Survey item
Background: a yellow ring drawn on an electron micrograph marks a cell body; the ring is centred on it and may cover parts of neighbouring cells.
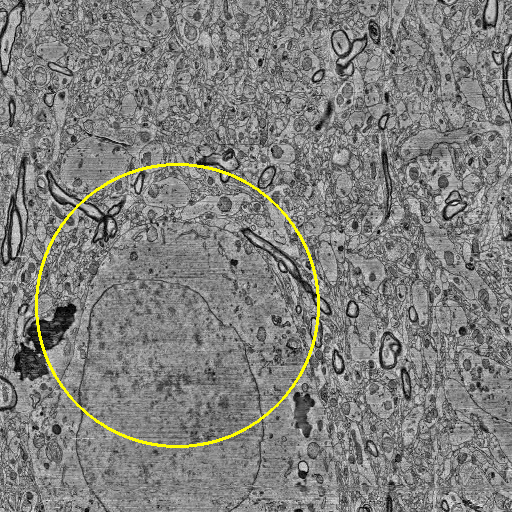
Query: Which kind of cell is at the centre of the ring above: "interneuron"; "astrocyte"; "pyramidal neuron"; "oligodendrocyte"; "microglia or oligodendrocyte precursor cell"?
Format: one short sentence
The cell in the middle of the ring is a pyramidal neuron.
